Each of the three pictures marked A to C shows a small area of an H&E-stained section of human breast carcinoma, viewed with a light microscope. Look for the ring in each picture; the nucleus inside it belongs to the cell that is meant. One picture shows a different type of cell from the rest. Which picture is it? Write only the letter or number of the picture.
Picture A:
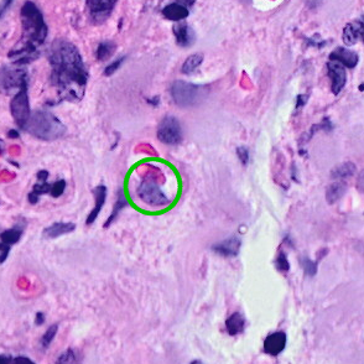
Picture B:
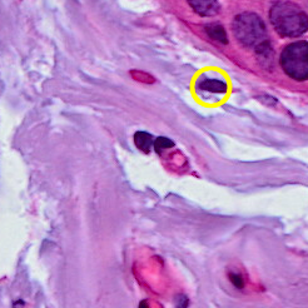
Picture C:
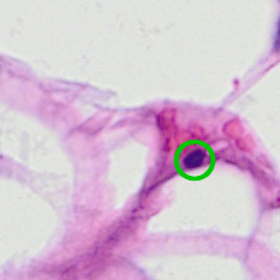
B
